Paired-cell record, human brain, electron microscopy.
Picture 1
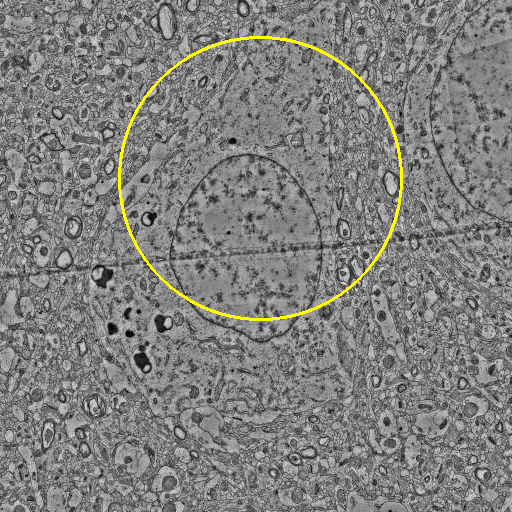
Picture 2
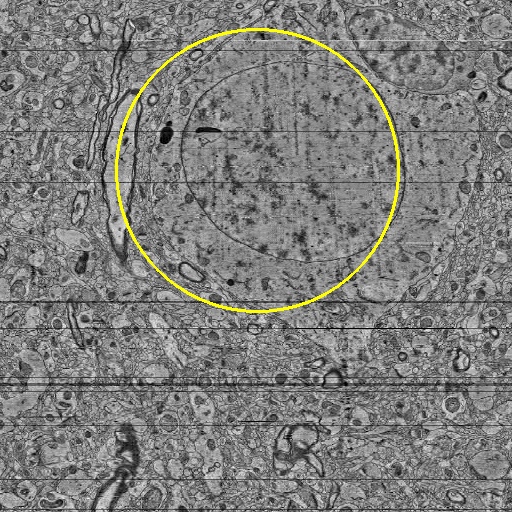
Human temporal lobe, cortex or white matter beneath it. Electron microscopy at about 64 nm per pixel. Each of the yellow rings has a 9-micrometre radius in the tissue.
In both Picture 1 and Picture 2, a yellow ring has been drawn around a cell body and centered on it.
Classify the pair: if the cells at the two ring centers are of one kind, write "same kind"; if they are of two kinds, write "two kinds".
same kind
